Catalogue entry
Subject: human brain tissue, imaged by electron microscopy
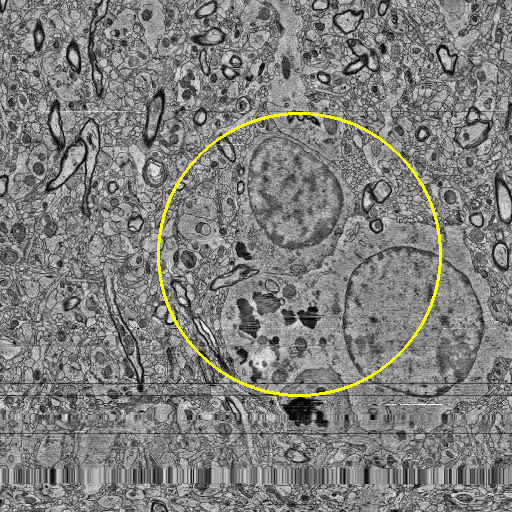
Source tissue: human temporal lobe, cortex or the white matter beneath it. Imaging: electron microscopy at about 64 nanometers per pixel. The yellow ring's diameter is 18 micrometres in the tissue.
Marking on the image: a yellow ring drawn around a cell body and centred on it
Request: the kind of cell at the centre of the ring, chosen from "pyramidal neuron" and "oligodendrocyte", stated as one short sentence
The ring has an oligodendrocyte at its centre.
